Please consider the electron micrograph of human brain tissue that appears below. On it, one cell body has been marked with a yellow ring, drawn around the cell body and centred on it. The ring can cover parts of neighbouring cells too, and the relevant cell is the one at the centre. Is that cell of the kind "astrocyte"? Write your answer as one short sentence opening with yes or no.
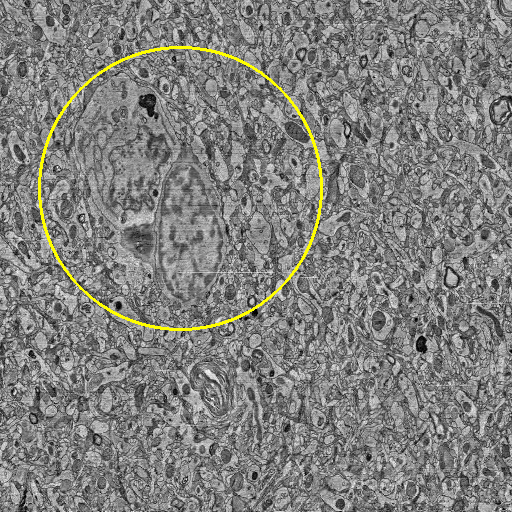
No, it is of another kind.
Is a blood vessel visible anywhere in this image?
No.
